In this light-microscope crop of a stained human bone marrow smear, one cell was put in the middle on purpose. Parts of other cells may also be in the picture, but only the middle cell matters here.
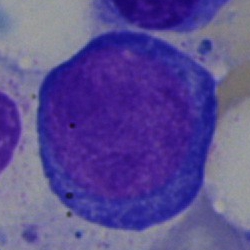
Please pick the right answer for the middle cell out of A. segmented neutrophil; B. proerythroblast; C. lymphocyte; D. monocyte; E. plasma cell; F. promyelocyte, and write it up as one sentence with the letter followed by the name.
Option B is right in identifying the central cell as a proerythroblast.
